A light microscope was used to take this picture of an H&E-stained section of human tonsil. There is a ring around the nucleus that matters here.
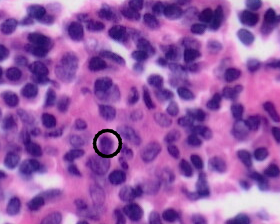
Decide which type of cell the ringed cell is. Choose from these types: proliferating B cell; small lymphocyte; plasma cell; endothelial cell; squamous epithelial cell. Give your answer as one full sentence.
It is as an endothelial cell that the ringed cell is recorded.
